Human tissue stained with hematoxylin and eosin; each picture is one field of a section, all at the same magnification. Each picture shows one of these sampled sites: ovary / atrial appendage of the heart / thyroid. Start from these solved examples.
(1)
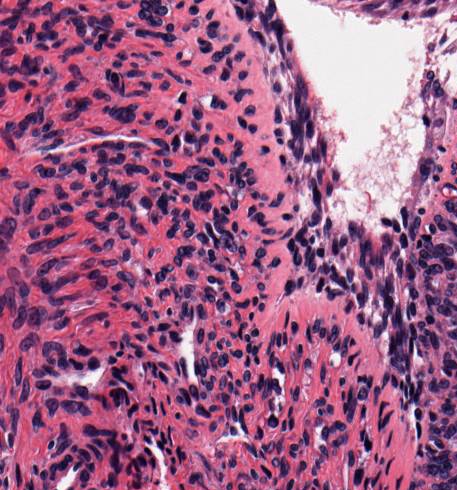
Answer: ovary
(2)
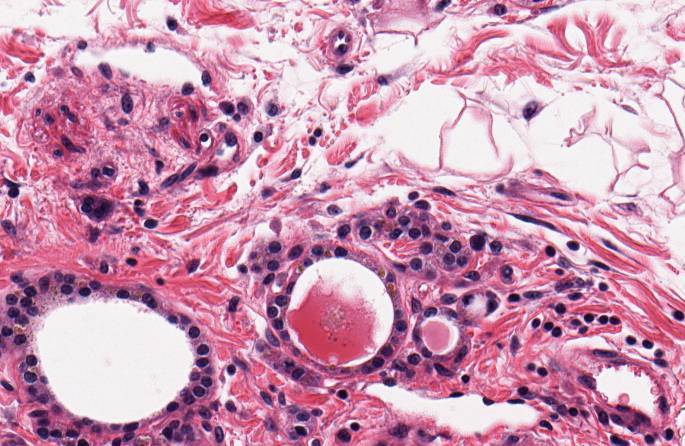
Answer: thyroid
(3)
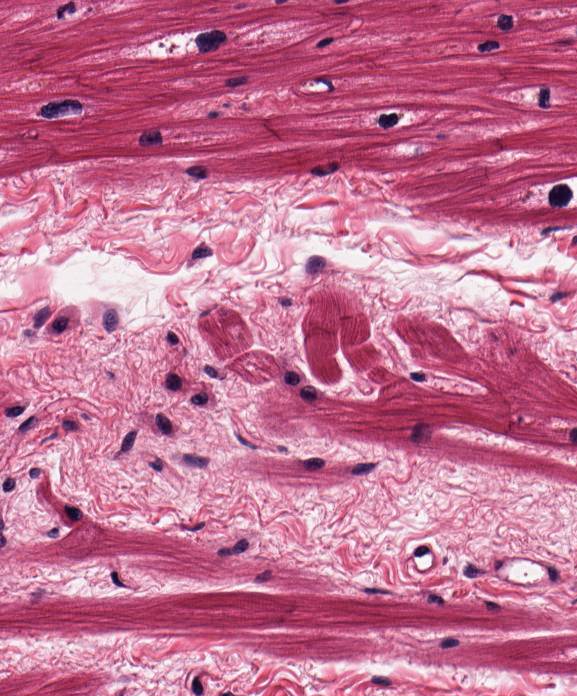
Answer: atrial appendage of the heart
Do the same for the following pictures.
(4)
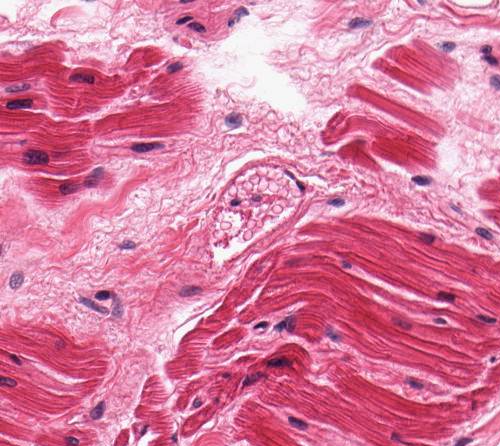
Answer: atrial appendage of the heart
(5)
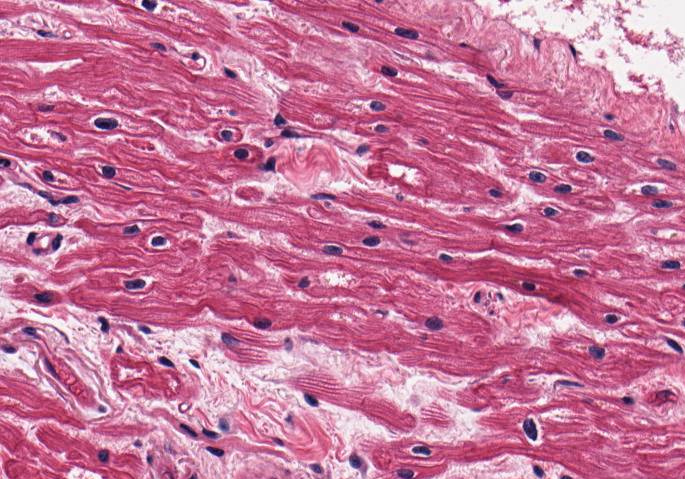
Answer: atrial appendage of the heart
